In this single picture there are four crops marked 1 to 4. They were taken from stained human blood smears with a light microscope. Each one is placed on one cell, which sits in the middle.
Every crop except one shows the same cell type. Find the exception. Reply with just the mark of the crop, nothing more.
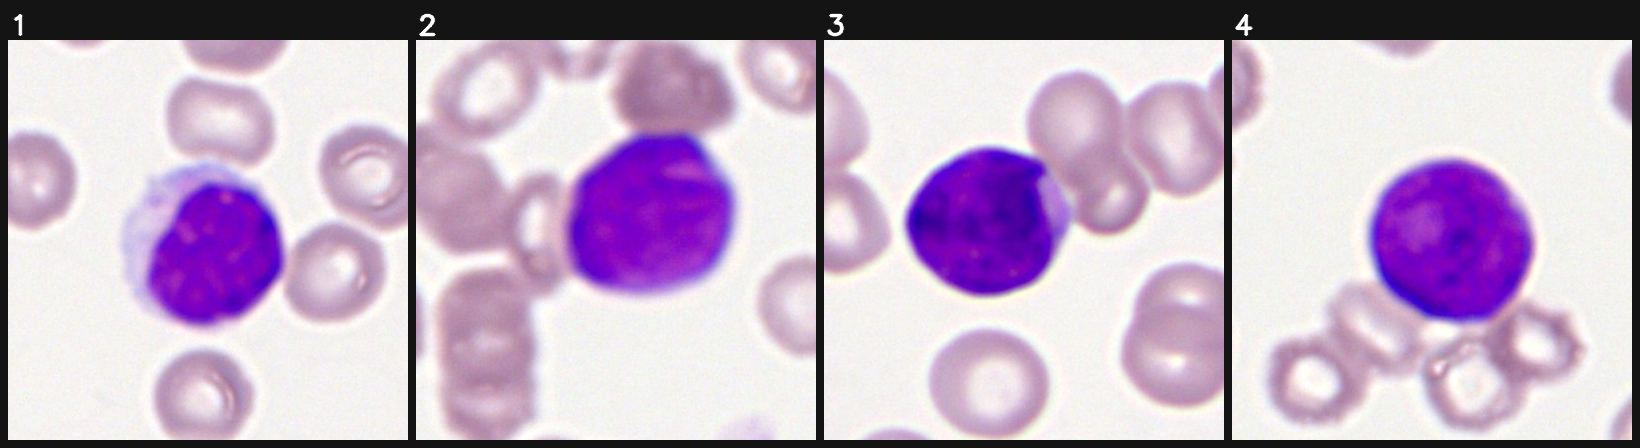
1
